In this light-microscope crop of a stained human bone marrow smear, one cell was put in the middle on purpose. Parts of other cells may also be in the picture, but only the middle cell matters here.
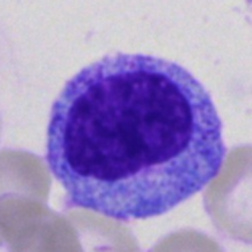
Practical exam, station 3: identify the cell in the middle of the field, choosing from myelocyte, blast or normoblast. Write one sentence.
This crop's central cell is a myelocyte.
